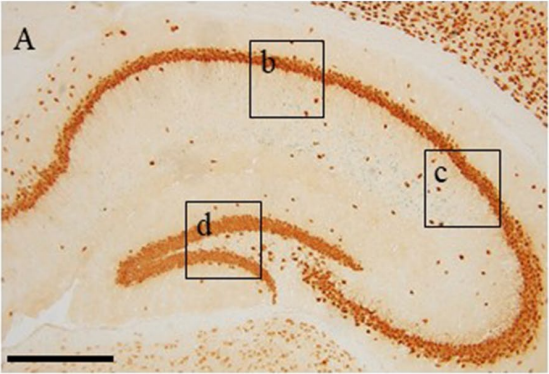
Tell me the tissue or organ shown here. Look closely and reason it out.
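Hippocampus. A curved band of densely stained cell bodies forms a C shape. A second, V-shaped band of tightly packed cells sits inside the open end of the curve.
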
